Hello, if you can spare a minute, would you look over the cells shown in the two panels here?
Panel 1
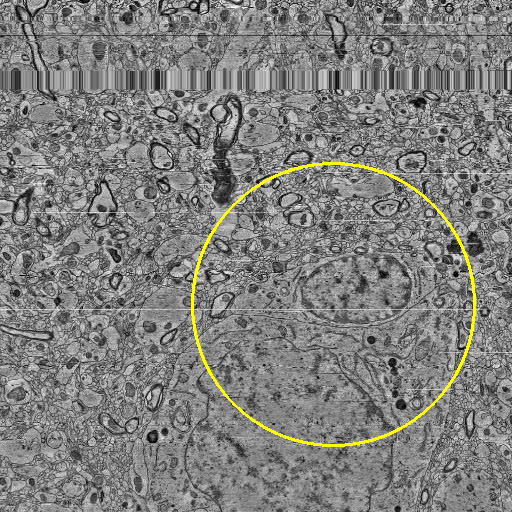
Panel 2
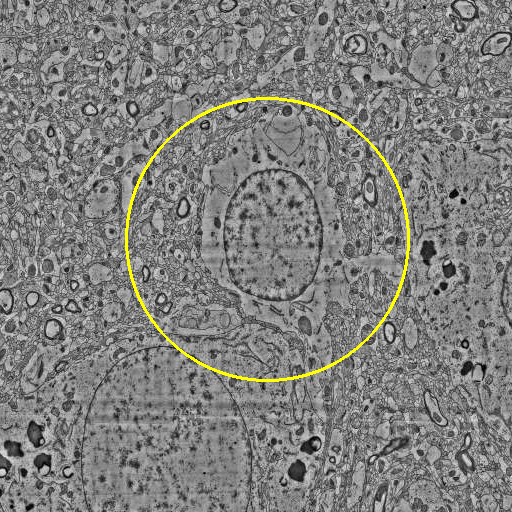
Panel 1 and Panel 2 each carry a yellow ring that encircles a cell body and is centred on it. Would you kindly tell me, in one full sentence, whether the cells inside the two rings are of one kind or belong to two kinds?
The cells at the centres of the rings in Panel 1 and Panel 2 belong to two kinds.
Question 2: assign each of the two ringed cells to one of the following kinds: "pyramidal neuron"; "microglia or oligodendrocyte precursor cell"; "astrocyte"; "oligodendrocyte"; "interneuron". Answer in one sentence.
The two cells are a microglial cell or oligodendrocyte precursor cell in the first picture and an astrocyte in the second.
